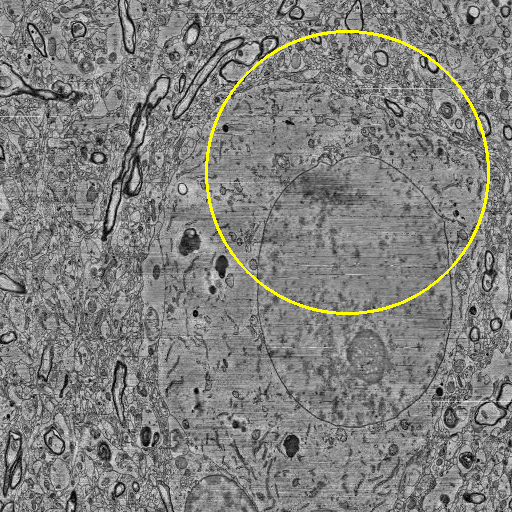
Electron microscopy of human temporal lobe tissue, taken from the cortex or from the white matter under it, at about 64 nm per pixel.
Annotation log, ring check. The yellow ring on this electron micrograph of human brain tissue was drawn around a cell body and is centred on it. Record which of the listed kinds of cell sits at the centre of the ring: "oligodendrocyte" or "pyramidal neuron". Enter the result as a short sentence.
The cell at the centre of the ring is a pyramidal neuron.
